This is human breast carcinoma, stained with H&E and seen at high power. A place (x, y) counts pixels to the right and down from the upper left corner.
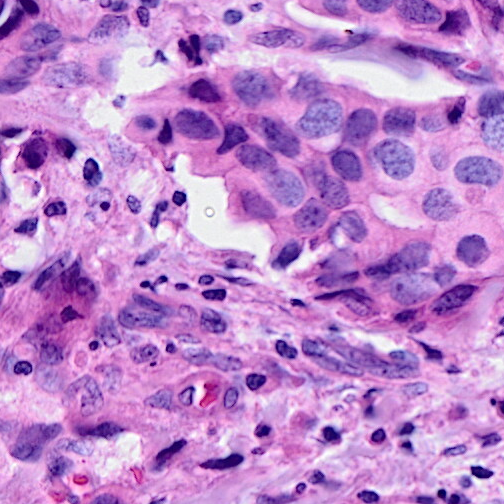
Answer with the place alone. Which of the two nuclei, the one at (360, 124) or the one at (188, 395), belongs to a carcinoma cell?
(360, 124)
